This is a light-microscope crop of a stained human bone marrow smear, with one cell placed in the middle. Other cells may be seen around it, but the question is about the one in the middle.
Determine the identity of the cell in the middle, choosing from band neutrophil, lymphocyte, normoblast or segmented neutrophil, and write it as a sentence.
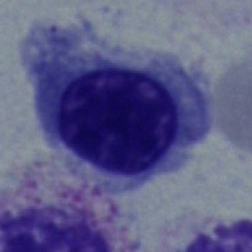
Here the cell in the middle is a normoblast.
